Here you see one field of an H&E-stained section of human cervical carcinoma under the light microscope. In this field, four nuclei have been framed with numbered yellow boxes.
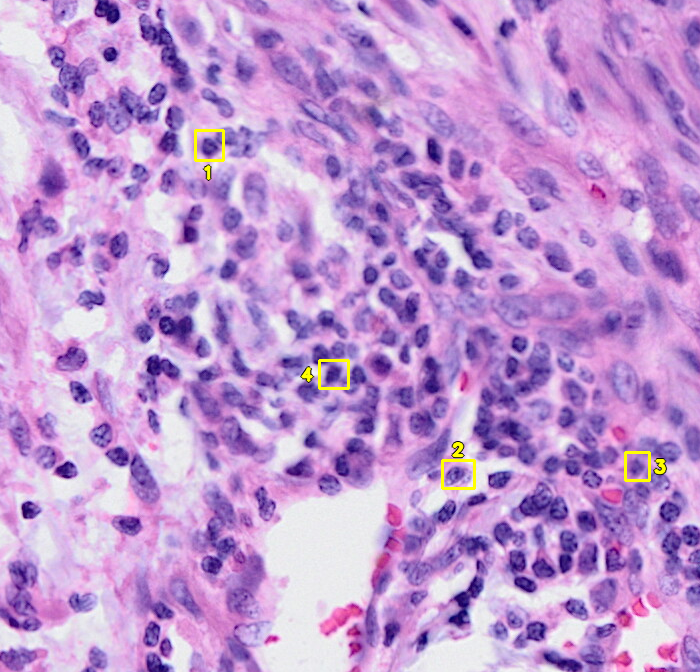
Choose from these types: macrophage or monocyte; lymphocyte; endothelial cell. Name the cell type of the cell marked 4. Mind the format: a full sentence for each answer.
The nucleus with number 4 is that of a lymphocyte.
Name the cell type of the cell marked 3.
Cell 3 should be recorded as an endothelial cell.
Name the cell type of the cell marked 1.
Classified as a lymphocyte is the cell with the number 1.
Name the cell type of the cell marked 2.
The one numbered 2 among the marked cells is a lymphocyte.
